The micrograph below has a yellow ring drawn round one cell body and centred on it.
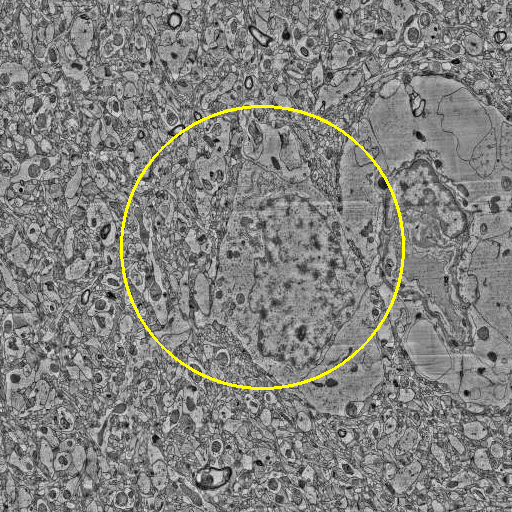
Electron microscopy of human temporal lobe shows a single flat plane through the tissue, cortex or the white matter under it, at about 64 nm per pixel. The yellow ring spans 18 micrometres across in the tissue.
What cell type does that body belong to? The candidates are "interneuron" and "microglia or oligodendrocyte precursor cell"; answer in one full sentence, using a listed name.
This is an interneuron, the cell whose body lies at the centre of the ring.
